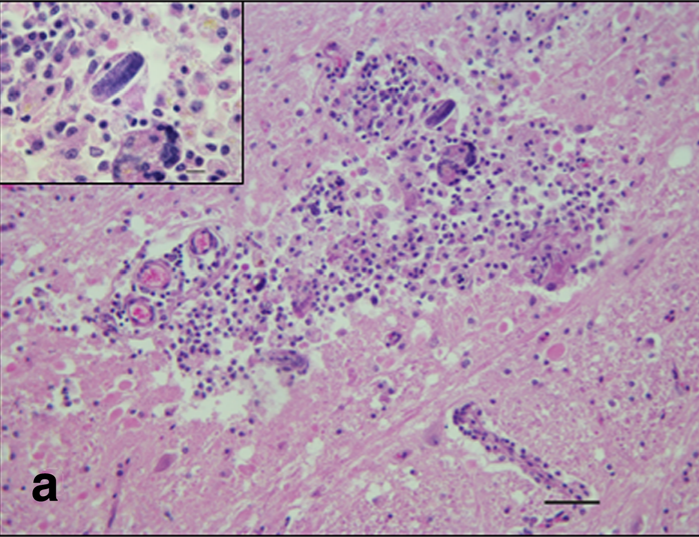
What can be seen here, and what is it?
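This section of brain tissue shows granulomatous inflammation centred within the pale pink neuropil. A dense focal infiltrate is made up largely of small cells with round, dark-blue nuclei, mixed with larger cells with pale, foamy cytoplasm. At the lower right a small vessel is cuffed by cells in its wall and surroundings. The inset shows at higher magnification an elongated oval egg with a dark-staining embryo inside its shell, lying next to a multinucleated giant cell amid inflammatory cells.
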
